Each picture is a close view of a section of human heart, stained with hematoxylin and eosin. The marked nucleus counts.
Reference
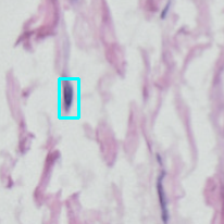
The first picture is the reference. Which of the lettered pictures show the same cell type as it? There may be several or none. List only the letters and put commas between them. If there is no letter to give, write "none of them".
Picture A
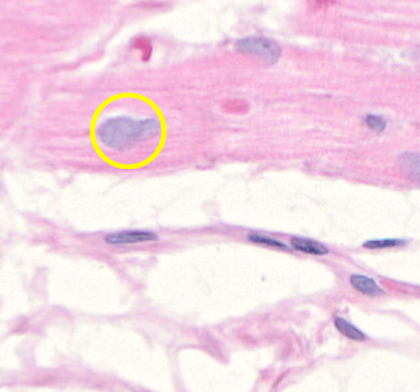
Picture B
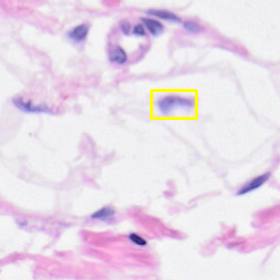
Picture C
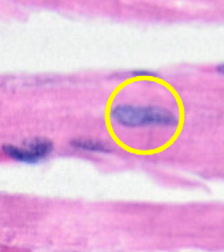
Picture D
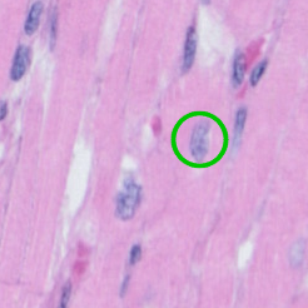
B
